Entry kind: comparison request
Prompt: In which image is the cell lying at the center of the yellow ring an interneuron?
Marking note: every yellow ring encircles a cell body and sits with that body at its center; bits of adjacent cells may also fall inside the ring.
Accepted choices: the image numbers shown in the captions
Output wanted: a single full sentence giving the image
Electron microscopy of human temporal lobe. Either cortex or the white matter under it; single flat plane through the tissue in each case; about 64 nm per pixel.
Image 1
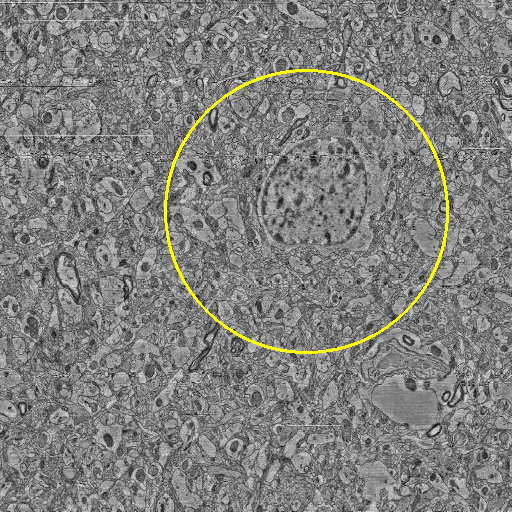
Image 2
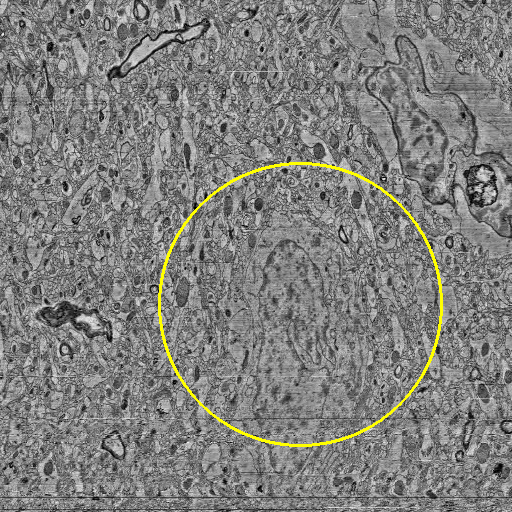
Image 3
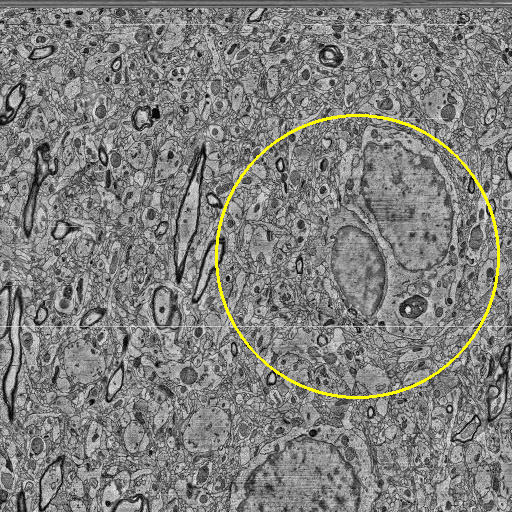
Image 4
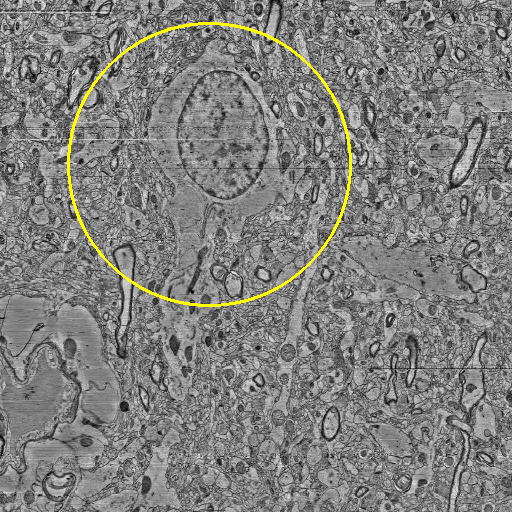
In image 2, the ringed cell at the center matches the prompt.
